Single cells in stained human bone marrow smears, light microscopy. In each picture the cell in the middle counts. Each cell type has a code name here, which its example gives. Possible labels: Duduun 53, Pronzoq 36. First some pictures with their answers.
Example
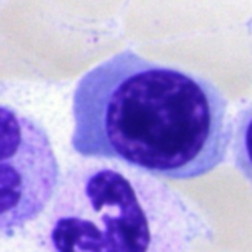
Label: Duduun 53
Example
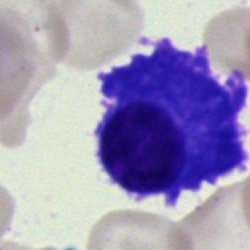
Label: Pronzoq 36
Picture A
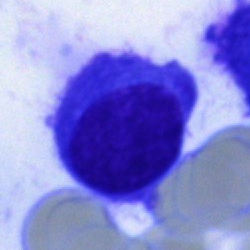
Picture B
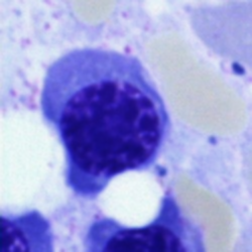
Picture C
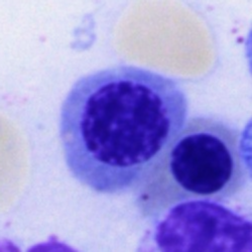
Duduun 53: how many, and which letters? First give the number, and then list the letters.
Count: 2 (B, C)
